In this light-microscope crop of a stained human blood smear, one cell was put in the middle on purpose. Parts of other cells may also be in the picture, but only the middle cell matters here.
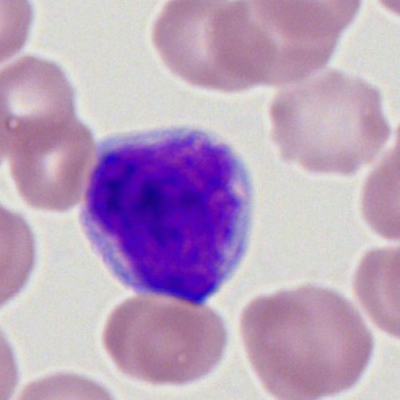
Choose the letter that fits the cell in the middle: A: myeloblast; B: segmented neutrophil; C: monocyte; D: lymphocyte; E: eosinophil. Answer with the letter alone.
A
